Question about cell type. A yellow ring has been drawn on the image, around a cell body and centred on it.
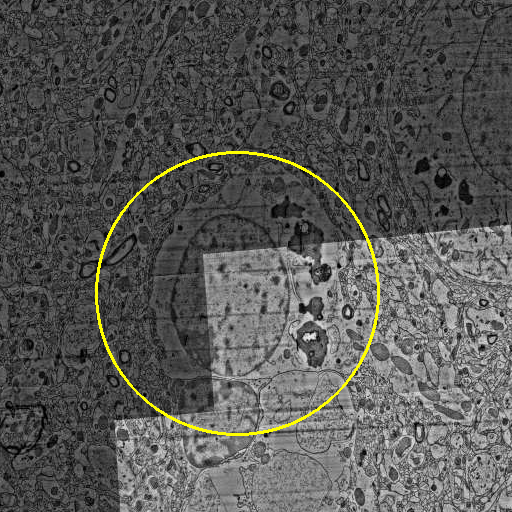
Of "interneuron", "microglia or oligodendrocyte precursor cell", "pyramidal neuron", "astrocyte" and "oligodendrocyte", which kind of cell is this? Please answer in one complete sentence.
At the centre of the ring lies an astrocyte.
